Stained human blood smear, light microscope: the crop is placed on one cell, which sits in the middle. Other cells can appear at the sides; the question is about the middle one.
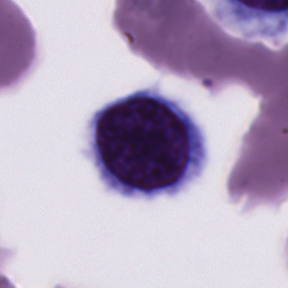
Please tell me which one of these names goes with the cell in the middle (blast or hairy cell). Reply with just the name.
hairy cell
